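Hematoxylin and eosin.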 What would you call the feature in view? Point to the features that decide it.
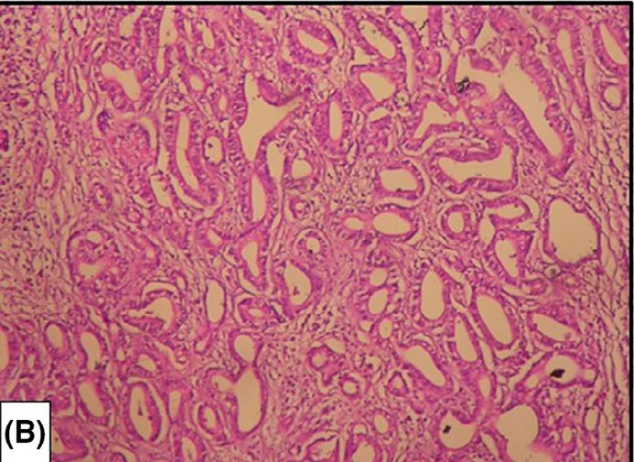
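Numerous tubules and glands with open lumina. Glands are lined by a single layer of epithelial cells.
Hence: glandular structures.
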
